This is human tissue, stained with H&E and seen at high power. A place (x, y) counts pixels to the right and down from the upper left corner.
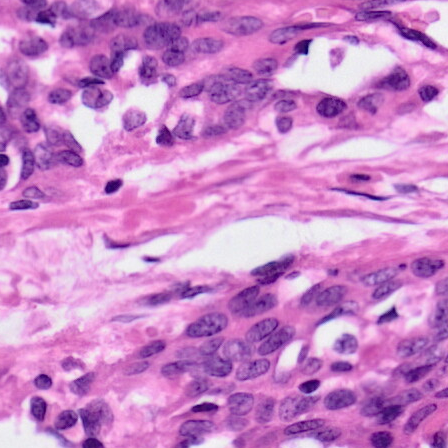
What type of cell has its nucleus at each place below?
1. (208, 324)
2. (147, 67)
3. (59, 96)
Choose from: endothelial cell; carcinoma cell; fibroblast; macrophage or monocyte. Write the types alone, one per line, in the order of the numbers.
carcinoma cell
carcinoma cell
macrophage or monocyte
